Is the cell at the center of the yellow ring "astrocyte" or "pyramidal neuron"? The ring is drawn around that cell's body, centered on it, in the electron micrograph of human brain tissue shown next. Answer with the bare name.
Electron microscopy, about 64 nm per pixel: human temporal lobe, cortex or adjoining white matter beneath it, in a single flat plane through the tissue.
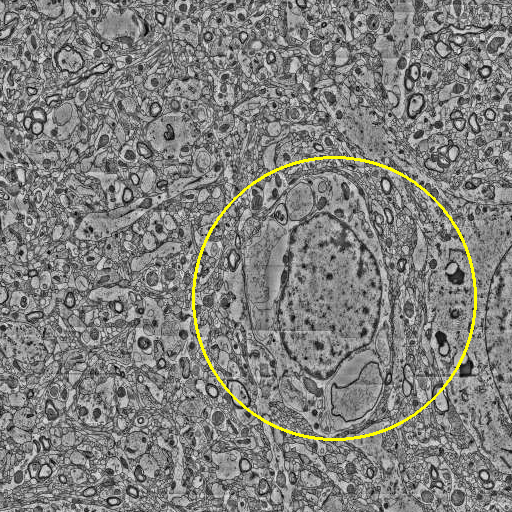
astrocyte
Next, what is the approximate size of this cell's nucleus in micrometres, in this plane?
About 10 by 7 micrometers in this plane, so the nucleus is clearly longer than it is wide.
